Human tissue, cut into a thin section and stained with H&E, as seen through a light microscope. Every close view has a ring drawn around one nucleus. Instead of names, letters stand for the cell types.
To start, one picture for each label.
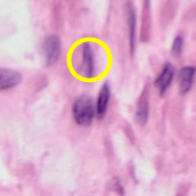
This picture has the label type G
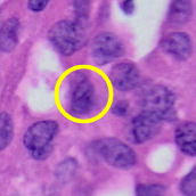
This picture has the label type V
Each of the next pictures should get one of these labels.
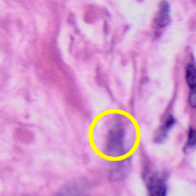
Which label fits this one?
type G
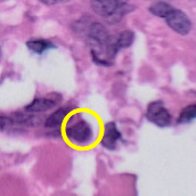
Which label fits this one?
type V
